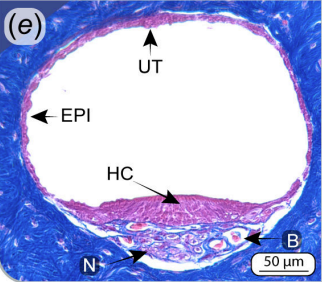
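Cross-section of a lateral line canal holding the sensory neuromast, embedded in blue-stained dermal connective tissue. A large round lumen is lined by a thin pink-purple epithelium of flattened cells. At the bottom of the canal the lining thickens into a mound of densely packed, tall, purple-stained hair cells forming the sensory epithelium. Beneath this mound lies a loose zone containing rounded nerve profiles and blood vessels, some with red-stained contents. At the top of the canal a small local thickening of the lining is seen. Dense blue collagen surrounds the canal wall.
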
